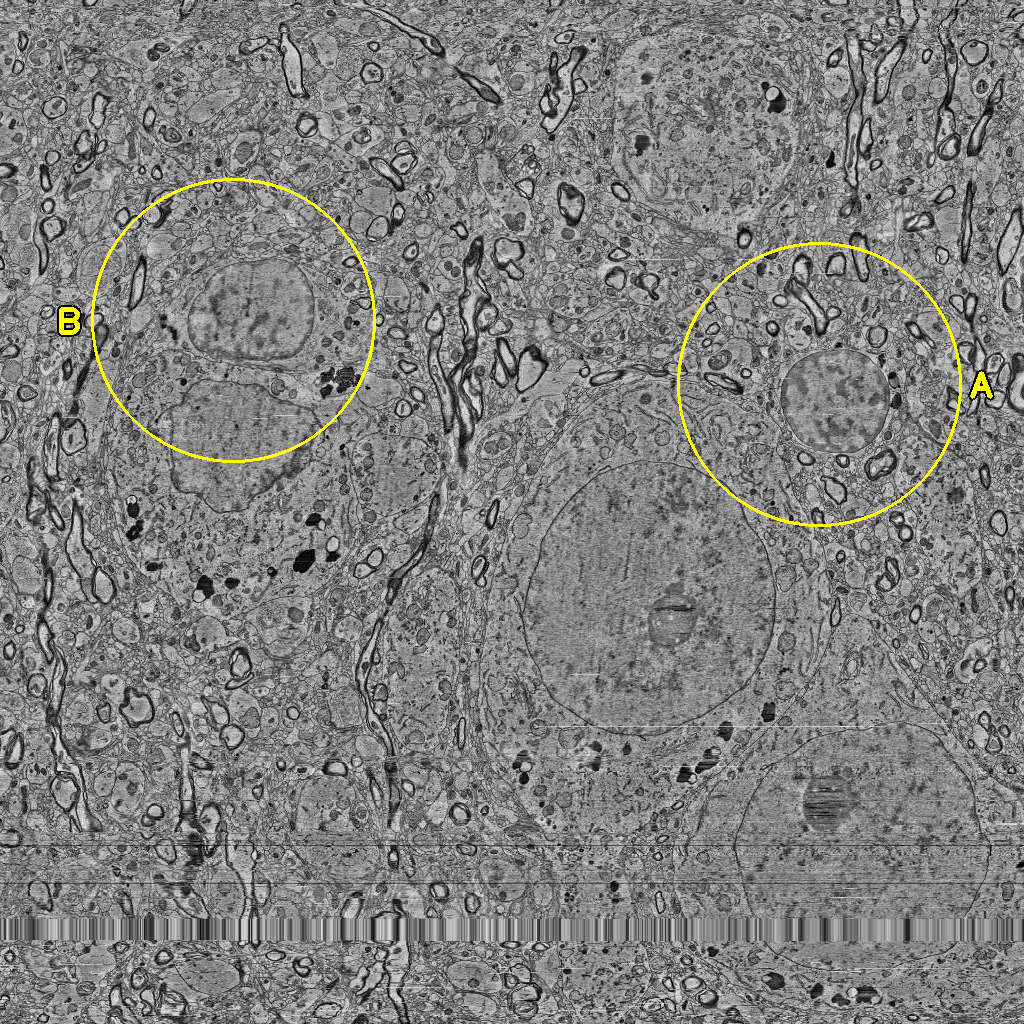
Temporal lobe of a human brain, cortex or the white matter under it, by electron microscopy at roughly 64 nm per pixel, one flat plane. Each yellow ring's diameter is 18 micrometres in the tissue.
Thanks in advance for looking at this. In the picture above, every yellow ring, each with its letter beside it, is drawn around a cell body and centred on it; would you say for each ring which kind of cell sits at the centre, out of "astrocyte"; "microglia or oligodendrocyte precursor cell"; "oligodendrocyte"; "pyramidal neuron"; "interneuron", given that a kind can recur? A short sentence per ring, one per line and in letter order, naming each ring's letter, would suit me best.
The cell body in ring A belongs to a microglial cell or oligodendrocyte precursor cell.
The cell body in ring B belongs to an oligodendrocyte.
